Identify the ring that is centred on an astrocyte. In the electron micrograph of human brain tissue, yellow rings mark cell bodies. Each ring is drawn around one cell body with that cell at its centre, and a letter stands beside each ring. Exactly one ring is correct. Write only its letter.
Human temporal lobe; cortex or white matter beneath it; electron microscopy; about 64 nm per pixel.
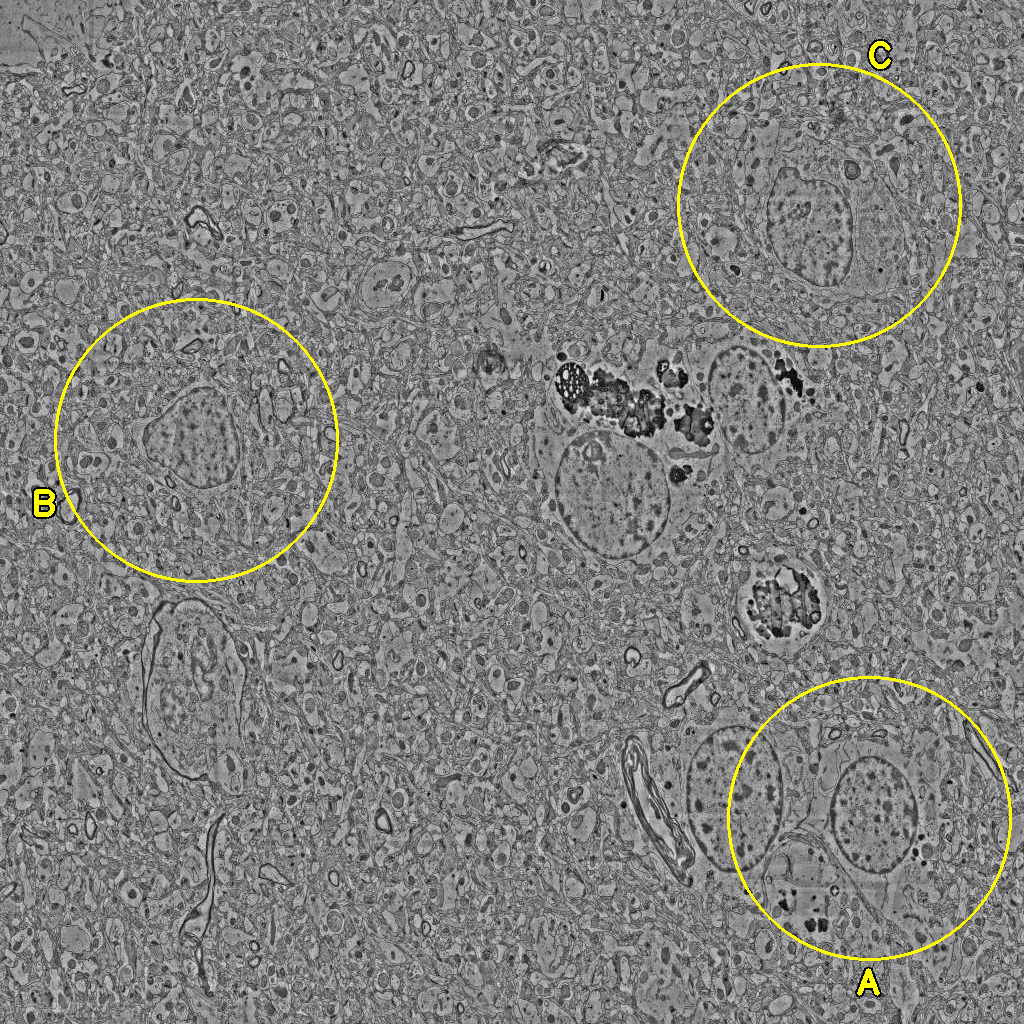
A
